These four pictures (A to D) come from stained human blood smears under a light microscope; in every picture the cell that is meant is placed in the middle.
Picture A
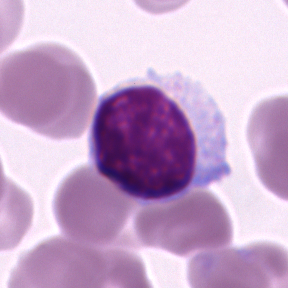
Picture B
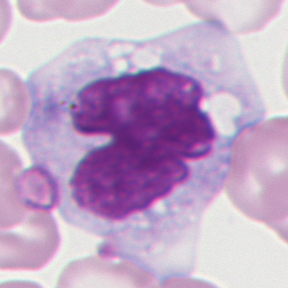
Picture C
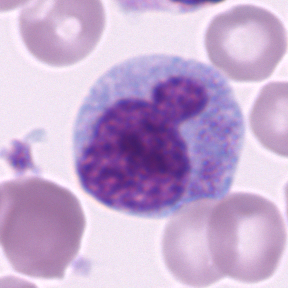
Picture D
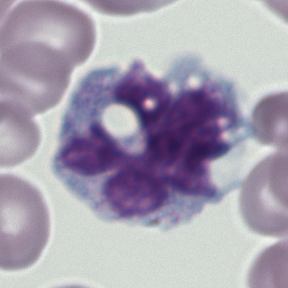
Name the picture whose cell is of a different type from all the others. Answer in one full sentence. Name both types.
All pictures except A show monocytes; picture A shows a large granular lymphocyte.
